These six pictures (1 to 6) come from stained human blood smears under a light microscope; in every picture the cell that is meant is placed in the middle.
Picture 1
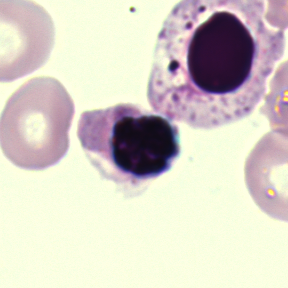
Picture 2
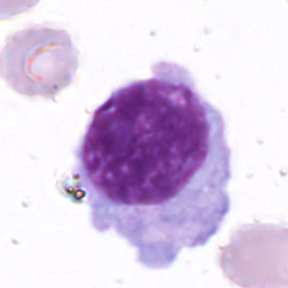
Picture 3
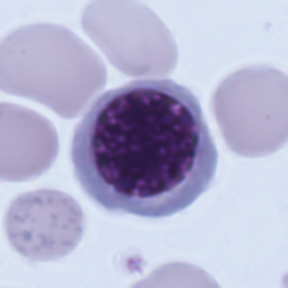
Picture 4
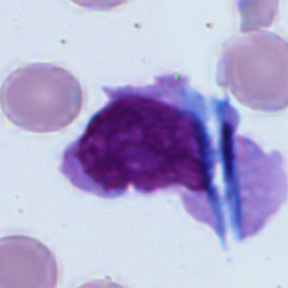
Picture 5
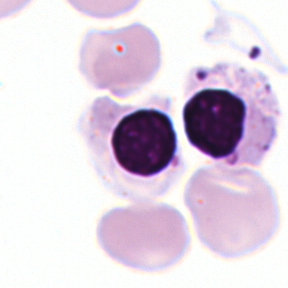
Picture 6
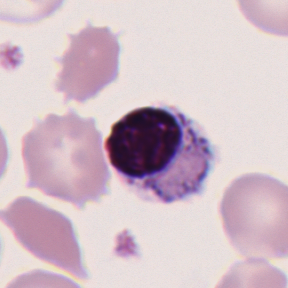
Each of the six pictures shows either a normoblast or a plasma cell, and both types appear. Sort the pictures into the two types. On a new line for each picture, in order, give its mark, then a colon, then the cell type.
1: normoblast
2: plasma cell
3: normoblast
4: plasma cell
5: normoblast
6: normoblast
